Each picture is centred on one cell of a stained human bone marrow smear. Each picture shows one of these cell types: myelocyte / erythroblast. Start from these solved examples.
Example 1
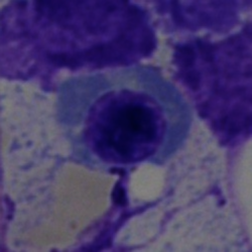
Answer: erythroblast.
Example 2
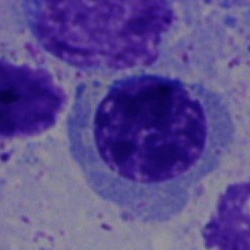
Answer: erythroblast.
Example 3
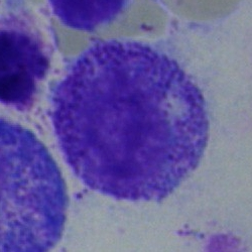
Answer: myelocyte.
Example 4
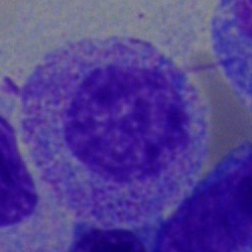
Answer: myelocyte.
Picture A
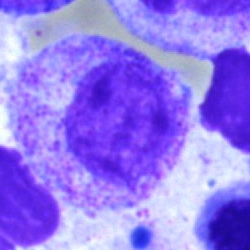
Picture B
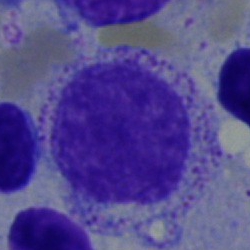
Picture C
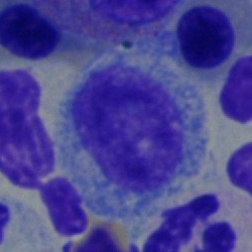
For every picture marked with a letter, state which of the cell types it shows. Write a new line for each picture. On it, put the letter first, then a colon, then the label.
A: myelocyte.
B: myelocyte.
C: myelocyte.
